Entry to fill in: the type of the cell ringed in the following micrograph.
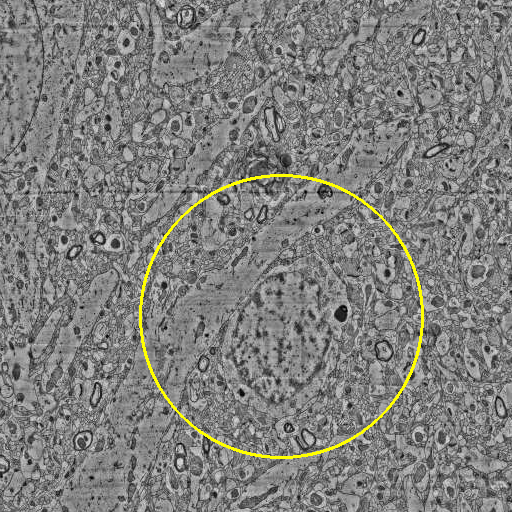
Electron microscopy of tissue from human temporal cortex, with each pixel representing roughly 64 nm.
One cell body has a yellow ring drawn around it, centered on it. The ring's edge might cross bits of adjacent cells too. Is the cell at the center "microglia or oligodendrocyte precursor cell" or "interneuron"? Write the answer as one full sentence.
This entry names an interneuron as the cell whose body lies at the ring's center.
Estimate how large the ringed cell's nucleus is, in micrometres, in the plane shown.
About 8 micrometres by about 6 micrometres in this plane.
